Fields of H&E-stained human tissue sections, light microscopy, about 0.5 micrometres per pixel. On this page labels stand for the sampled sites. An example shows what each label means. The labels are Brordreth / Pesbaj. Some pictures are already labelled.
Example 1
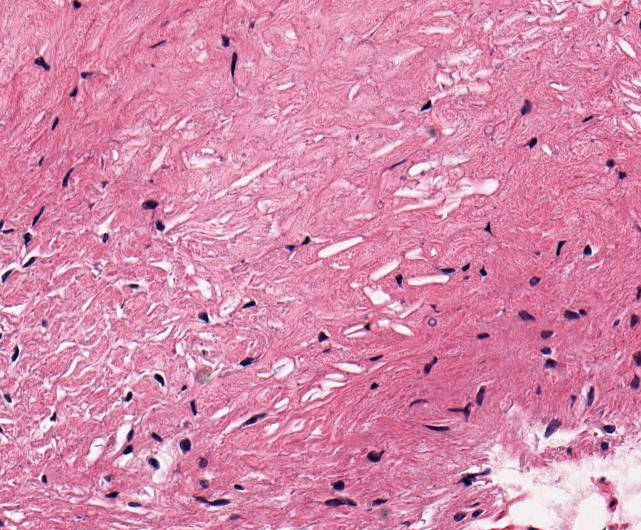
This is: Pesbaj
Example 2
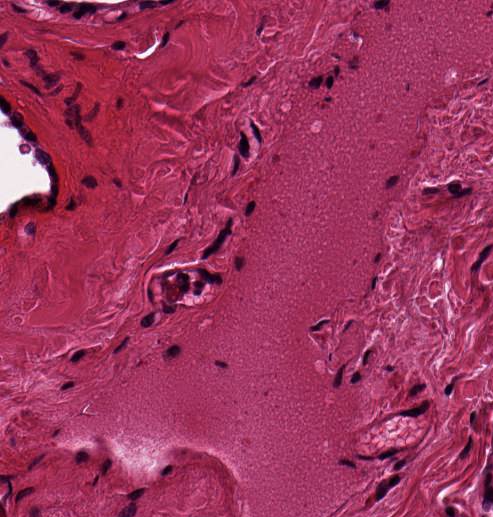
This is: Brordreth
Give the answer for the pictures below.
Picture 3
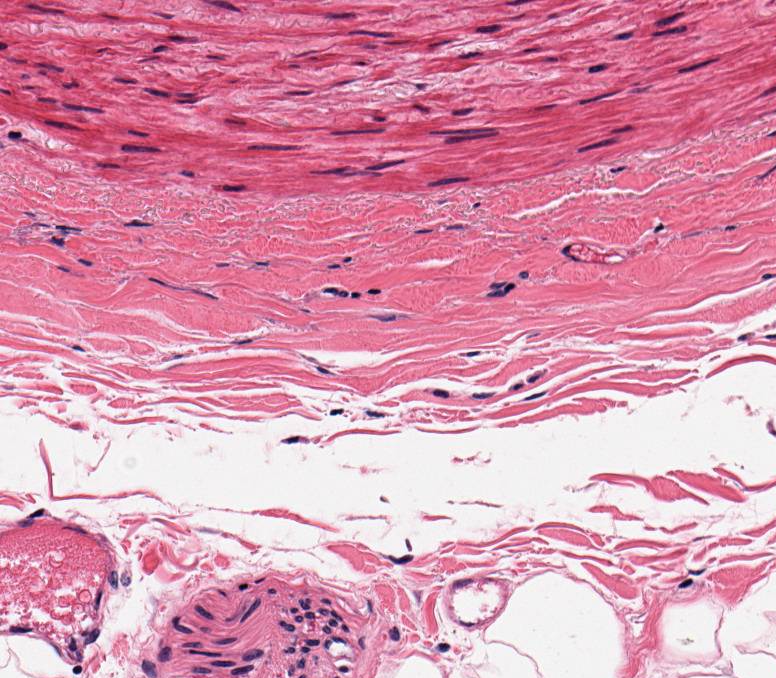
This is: Pesbaj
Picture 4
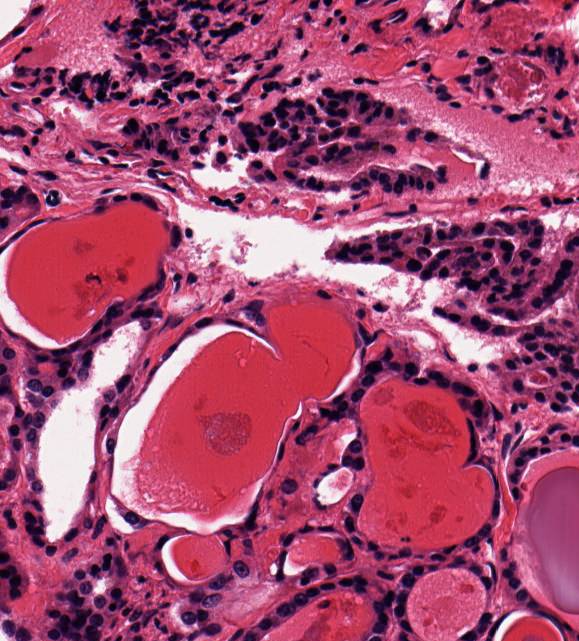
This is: Brordreth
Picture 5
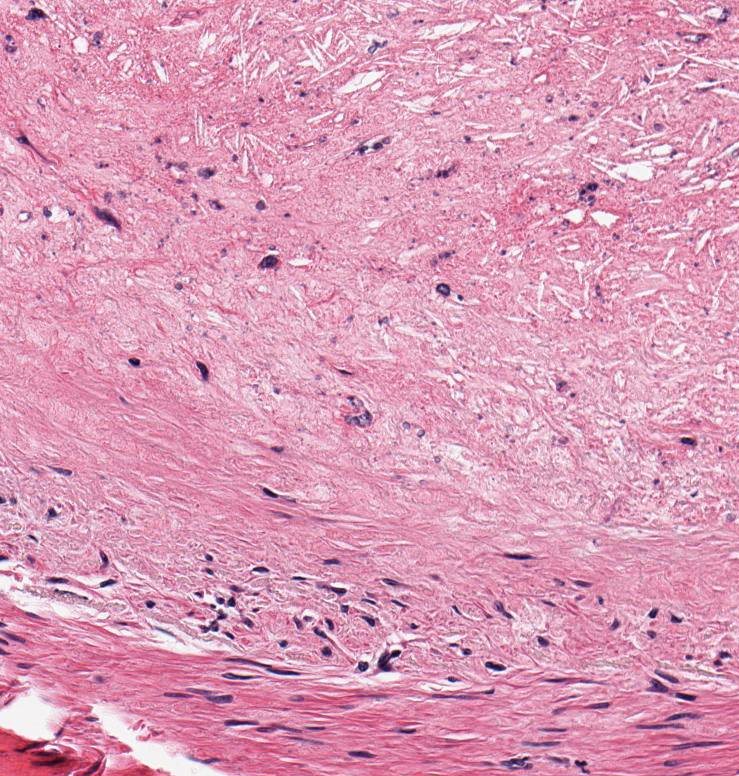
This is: Pesbaj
